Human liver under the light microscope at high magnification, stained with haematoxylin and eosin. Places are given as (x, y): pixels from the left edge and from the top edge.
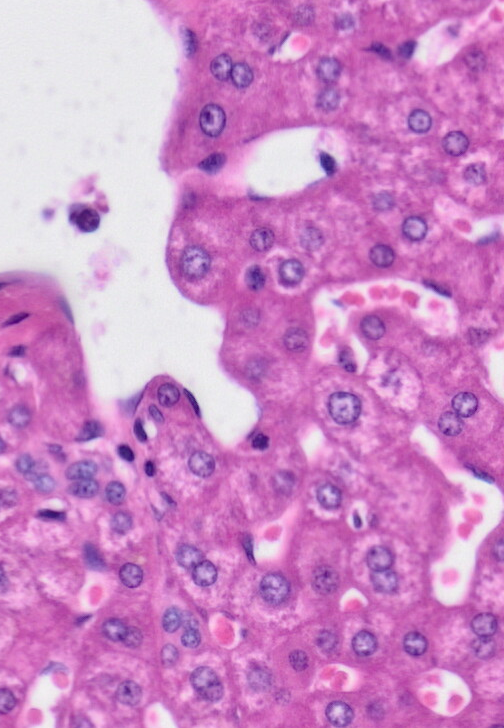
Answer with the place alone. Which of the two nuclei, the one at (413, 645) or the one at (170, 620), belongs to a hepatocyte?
(413, 645)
